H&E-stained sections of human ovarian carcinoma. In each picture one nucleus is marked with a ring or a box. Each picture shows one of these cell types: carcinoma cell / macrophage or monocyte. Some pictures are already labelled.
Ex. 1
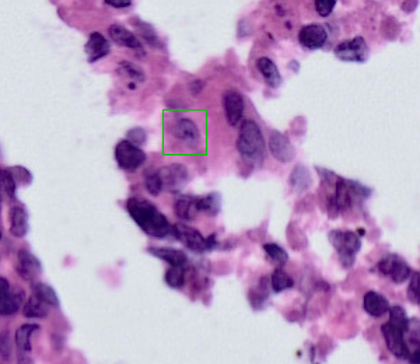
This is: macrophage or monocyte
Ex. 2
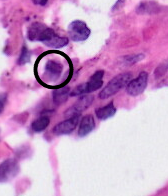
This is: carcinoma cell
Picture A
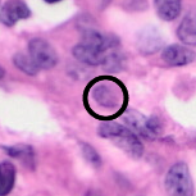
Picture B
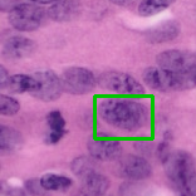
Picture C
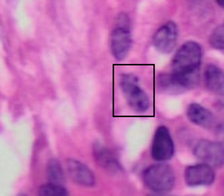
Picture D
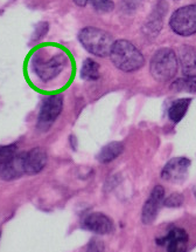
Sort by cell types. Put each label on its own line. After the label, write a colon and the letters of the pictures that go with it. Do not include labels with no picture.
carcinoma cell: B
macrophage or monocyte: A, C, D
